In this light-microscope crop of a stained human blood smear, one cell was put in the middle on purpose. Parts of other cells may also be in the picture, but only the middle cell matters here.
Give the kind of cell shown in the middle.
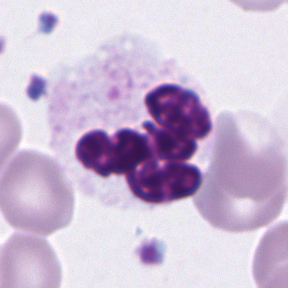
neutrophil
